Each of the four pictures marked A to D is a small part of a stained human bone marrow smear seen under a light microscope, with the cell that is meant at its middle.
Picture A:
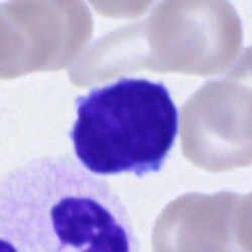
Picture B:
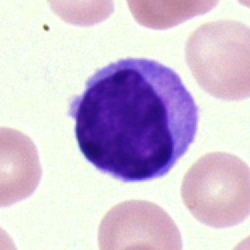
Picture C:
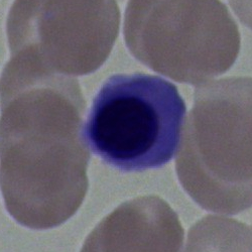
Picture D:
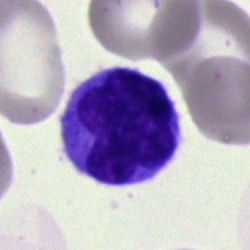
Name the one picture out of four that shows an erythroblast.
C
